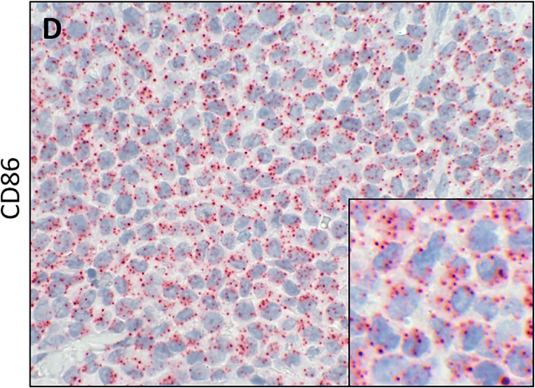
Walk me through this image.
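The cells are closely packed, roundish and fairly uniform, with round to oval pale blue nuclei and a modest rim of pale cytoplasm. Numerous small red dots are scattered over nearly every cell, clustering around the nuclei. The enlarged inset shows the same cells at higher magnification, each bearing many distinct red dots.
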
